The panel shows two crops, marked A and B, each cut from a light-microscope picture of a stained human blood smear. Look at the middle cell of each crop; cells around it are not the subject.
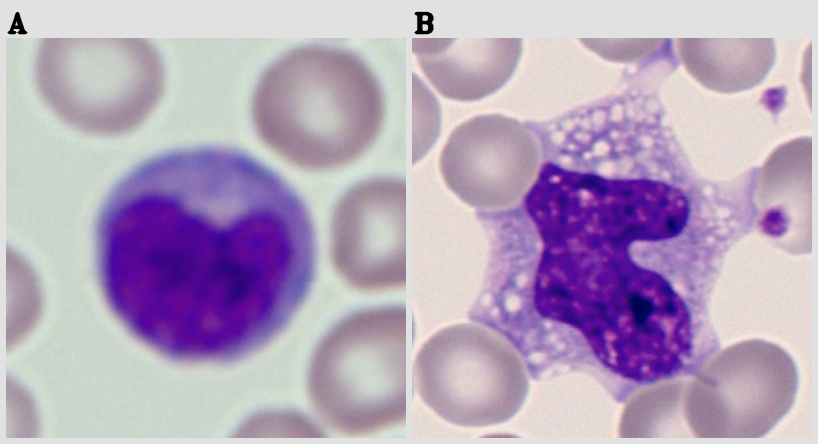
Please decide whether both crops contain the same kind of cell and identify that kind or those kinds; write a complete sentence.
Yes, what both crops show is monocytes.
